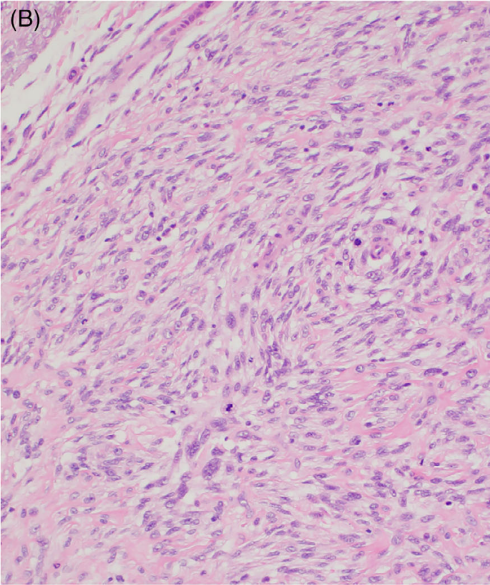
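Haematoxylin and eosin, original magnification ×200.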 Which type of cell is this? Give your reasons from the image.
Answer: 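Pleomorphic epithelioid spindle cells. Elongated and plump cells with nuclei varying in size and shape. Some nuclei are hyperchromatic and enlarged. Cells lie in pink collagenous stroma.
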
